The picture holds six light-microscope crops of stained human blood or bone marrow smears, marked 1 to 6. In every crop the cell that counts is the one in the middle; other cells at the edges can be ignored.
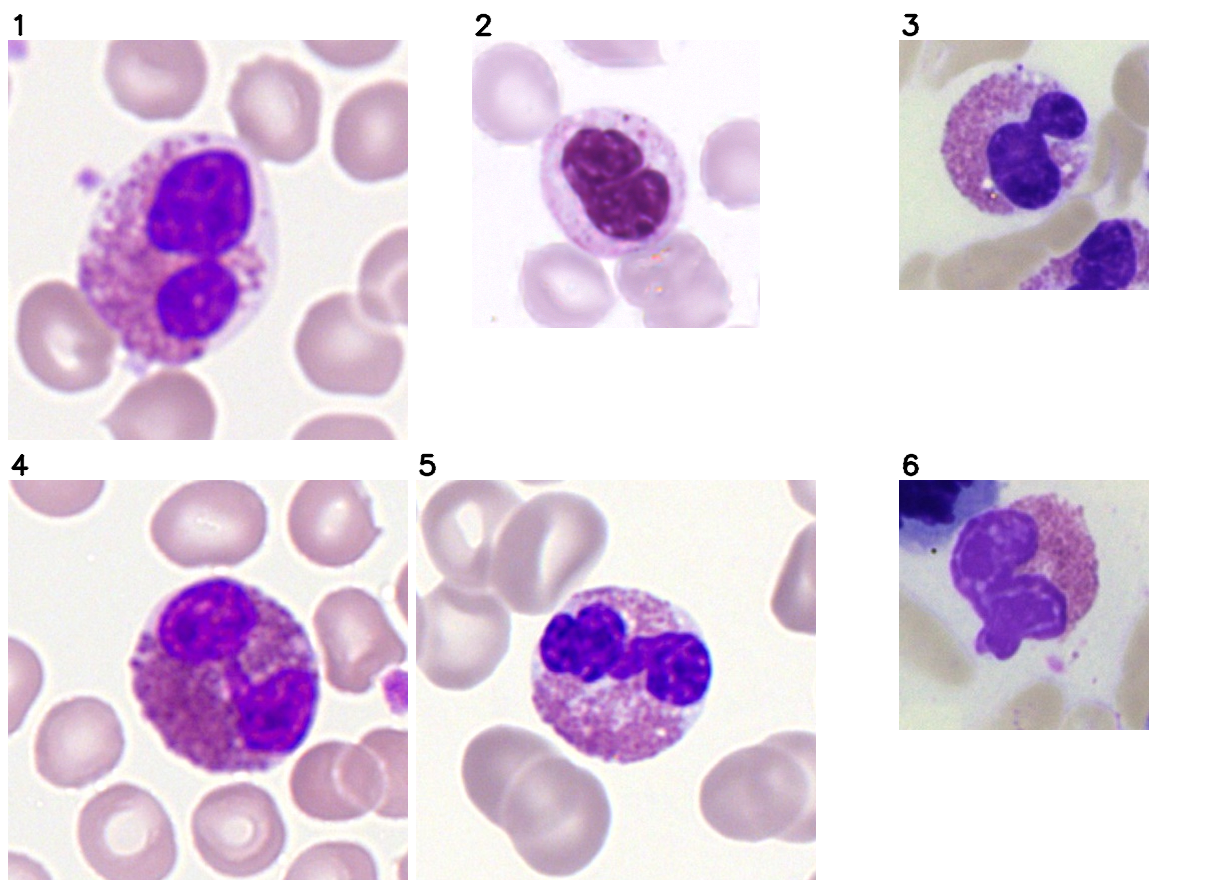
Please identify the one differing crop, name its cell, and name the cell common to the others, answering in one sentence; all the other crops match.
Of all the crops, only crop 2 shows a band neutrophil; the others show eosinophils.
